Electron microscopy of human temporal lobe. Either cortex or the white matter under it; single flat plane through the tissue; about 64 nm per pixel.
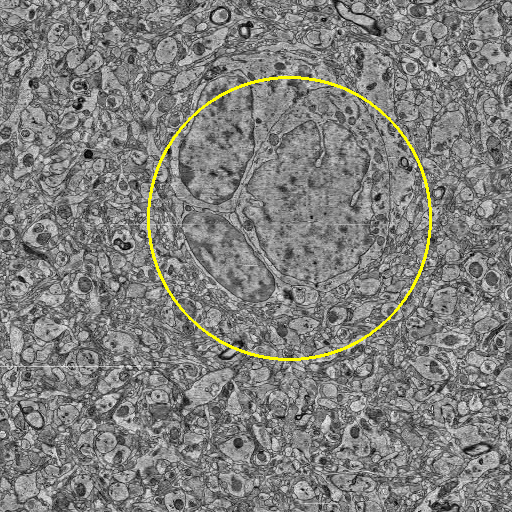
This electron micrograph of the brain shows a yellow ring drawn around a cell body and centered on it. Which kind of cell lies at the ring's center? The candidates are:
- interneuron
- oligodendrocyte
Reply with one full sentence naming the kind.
The cell lying at the ring's center in this micrograph is an interneuron.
